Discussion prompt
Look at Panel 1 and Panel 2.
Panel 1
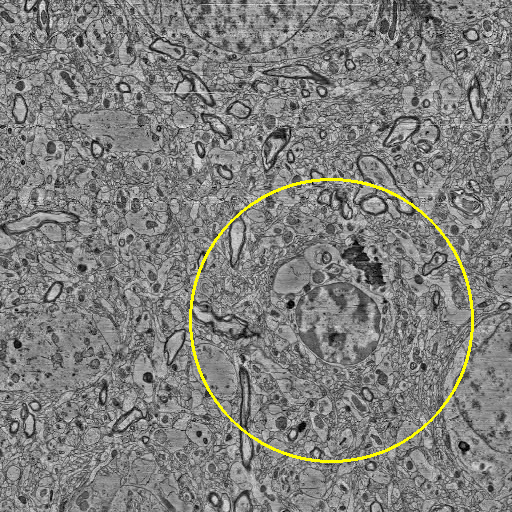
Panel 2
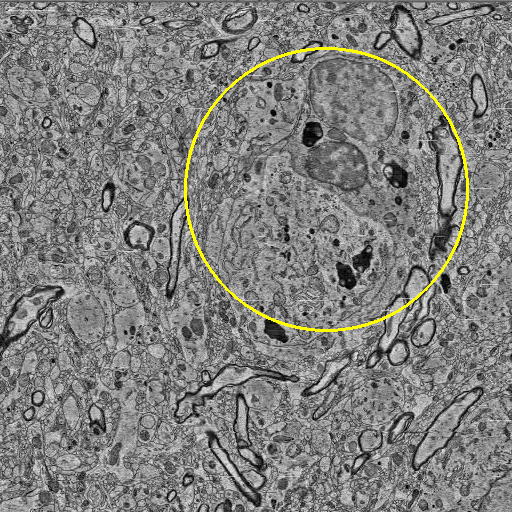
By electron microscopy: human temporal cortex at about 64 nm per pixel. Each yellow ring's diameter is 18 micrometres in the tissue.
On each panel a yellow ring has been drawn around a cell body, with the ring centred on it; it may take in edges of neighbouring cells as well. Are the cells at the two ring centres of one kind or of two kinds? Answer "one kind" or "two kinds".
two kinds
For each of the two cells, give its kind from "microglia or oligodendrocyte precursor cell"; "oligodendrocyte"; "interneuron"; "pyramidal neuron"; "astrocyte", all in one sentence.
The first picture has a microglial cell or oligodendrocyte precursor cell in its ring, the second has an oligodendrocyte.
